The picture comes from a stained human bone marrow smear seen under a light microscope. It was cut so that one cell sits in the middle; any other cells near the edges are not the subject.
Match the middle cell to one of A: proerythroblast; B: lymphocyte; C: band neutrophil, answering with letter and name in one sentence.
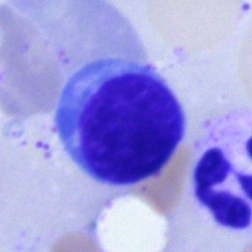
Since the cell in the centre is a lymphocyte, the correct option is B.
